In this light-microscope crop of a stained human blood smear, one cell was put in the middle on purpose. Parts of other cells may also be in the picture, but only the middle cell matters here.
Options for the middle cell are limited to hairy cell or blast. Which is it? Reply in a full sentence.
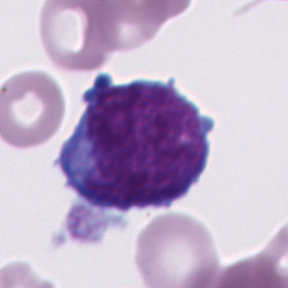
Among the cells in view, the one in the middle is a blast.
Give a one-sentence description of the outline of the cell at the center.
Ragged or projecting, the border of this cell departs from a smooth contour.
